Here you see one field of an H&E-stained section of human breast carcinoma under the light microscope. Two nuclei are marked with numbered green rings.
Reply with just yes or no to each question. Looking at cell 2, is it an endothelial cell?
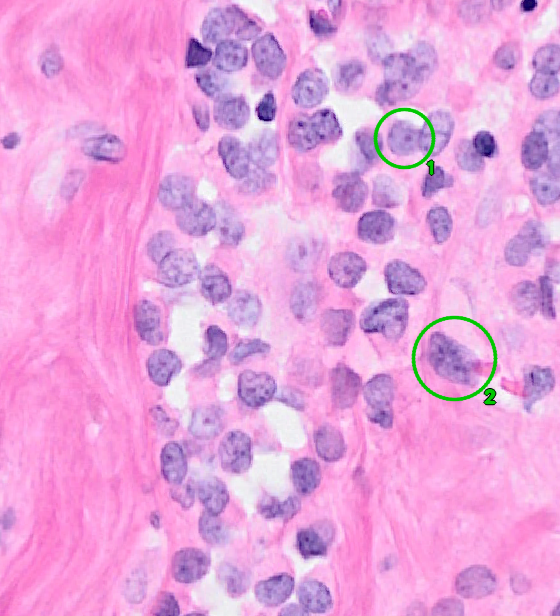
yes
